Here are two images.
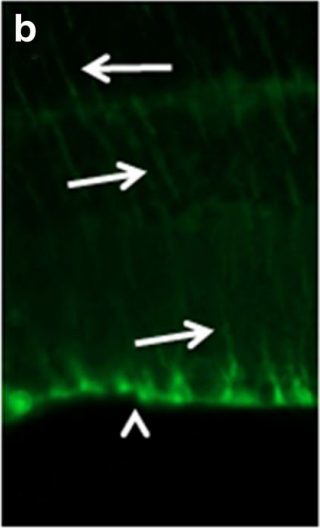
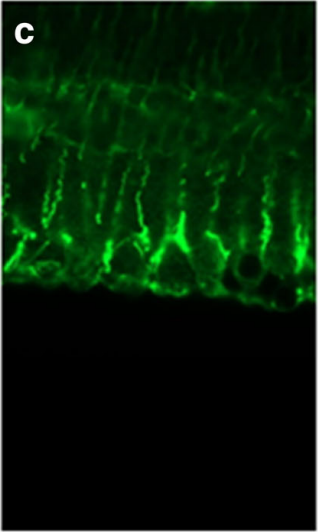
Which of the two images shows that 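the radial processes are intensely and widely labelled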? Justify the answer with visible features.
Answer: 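Second image: many thick, bright green wavy radial processes run through the inner half and into the outer retina. First image: the radial fibres are thin and faint, with brightness mostly confined to the feet at the inner border. On this evidence: the second image.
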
